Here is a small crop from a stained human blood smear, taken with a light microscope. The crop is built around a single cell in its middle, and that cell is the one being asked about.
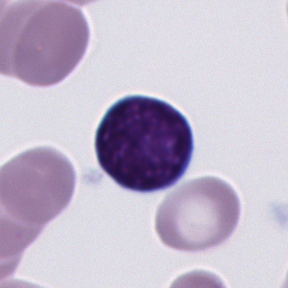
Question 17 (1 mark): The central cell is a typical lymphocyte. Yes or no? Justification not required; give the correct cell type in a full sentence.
Yes, a typical lymphocyte occupies the middle of the crop.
